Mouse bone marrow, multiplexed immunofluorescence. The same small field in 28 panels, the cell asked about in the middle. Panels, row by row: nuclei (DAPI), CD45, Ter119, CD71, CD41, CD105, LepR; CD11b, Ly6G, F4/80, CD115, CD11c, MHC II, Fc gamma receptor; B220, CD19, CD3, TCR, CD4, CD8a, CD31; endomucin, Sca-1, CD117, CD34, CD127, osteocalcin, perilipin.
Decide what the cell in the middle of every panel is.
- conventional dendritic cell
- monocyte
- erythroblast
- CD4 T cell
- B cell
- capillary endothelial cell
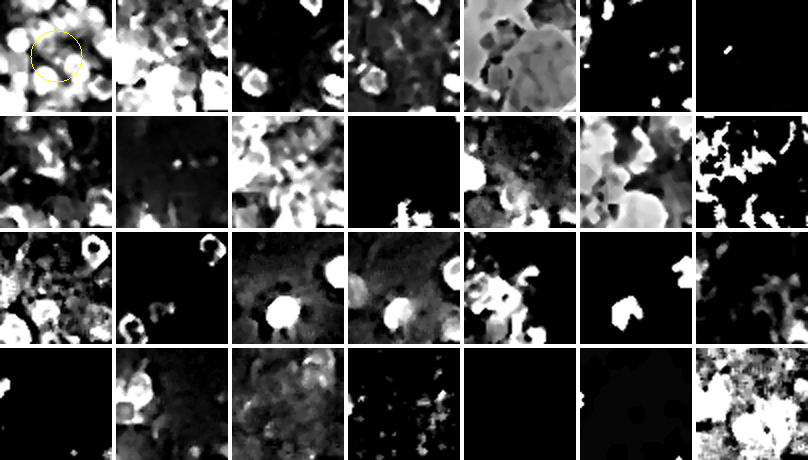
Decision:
conventional dendritic cell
